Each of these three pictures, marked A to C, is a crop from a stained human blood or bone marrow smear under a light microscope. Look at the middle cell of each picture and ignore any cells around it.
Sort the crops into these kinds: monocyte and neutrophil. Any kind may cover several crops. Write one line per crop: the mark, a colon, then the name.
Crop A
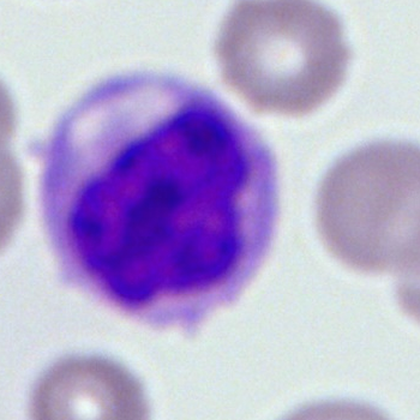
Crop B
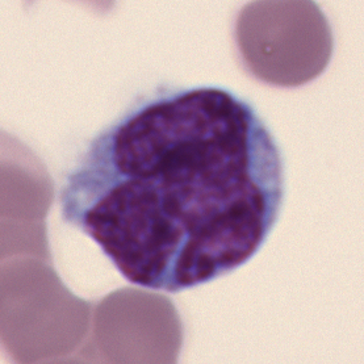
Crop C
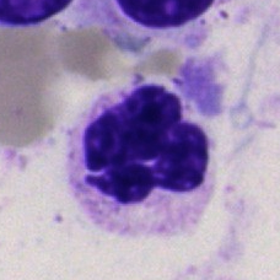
A: monocyte
B: monocyte
C: neutrophil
